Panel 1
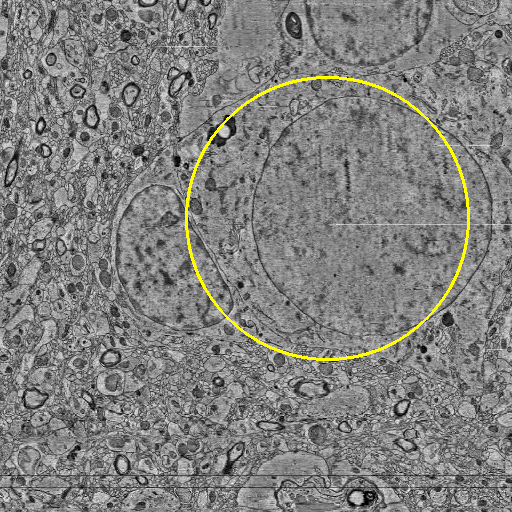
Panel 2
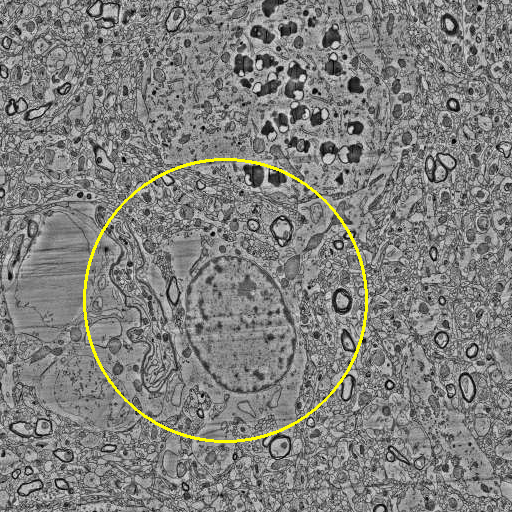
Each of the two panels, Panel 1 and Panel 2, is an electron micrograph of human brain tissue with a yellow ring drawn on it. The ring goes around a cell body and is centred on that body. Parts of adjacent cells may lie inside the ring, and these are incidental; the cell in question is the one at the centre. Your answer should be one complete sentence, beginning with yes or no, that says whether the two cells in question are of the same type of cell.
No, the two cells are of two types.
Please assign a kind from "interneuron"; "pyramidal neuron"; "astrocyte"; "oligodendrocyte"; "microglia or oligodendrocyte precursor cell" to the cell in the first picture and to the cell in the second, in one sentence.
In the first picture we have a pyramidal neuron, and in the second, a microglial cell or oligodendrocyte precursor cell.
